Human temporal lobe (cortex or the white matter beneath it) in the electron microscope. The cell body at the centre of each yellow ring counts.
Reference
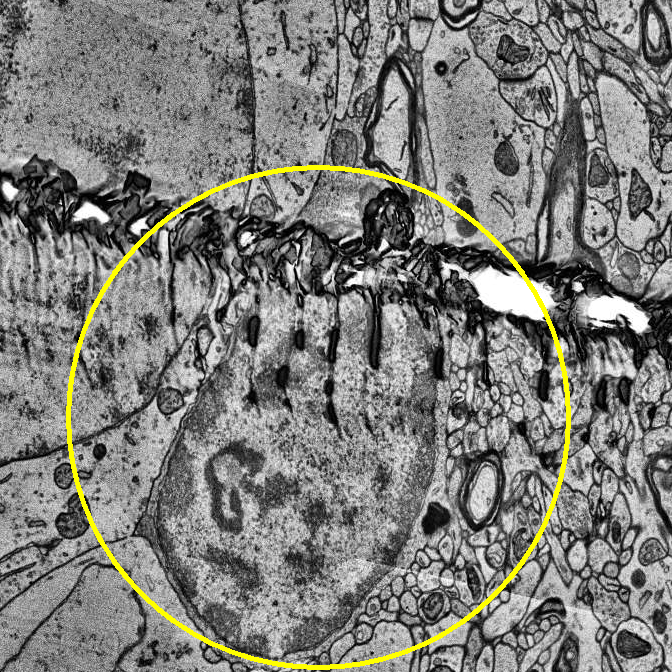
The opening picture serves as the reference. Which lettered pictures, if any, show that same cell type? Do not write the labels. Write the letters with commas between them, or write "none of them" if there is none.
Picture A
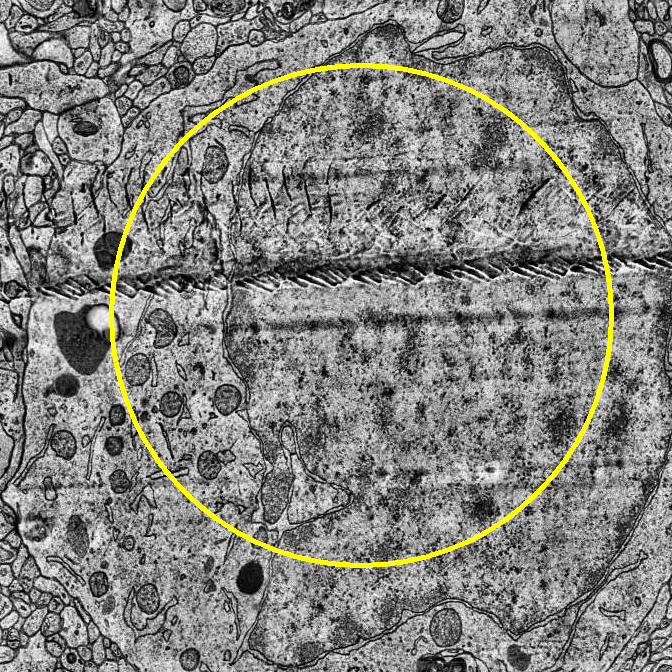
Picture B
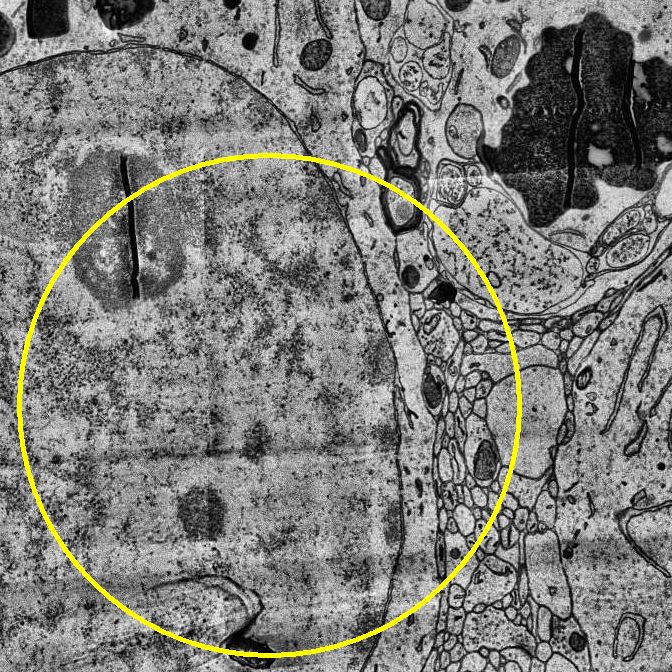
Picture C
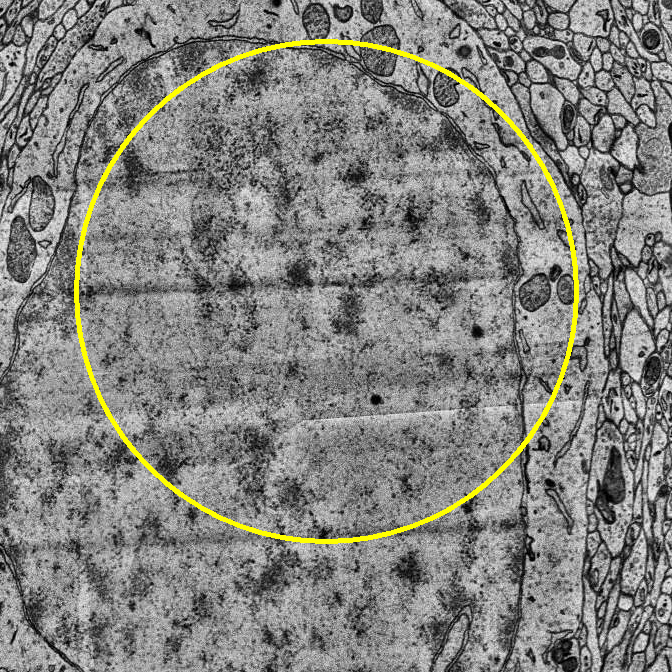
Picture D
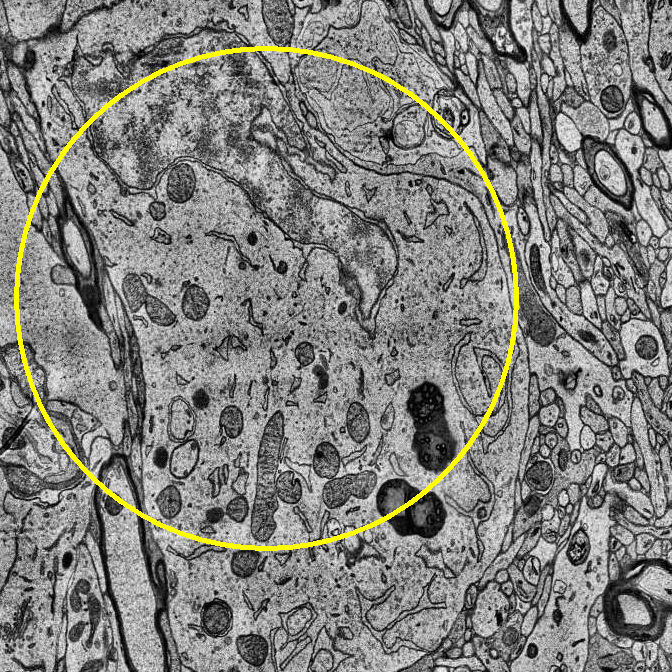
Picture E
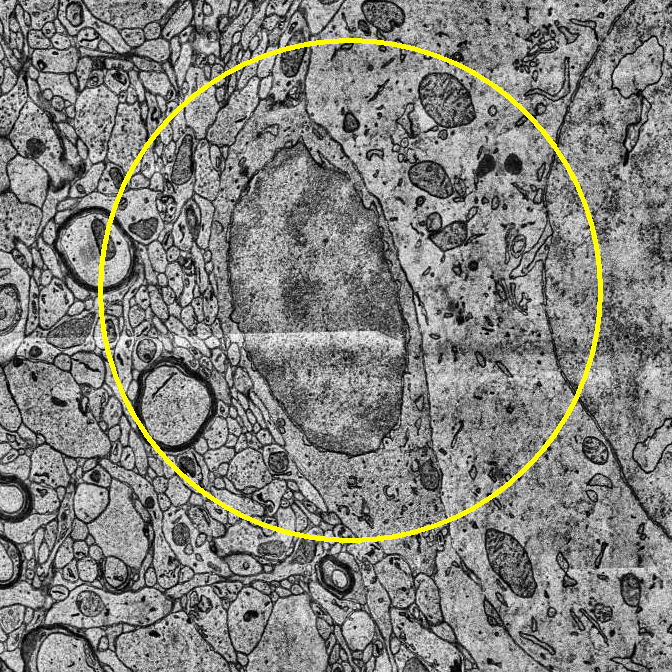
E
